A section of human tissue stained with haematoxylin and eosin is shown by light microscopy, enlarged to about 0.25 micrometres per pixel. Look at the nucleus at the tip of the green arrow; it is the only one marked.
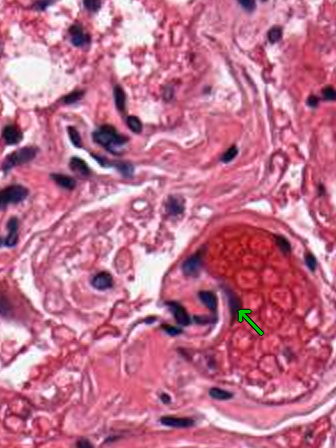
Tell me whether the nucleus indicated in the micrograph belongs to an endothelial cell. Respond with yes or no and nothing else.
yes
